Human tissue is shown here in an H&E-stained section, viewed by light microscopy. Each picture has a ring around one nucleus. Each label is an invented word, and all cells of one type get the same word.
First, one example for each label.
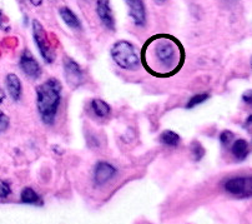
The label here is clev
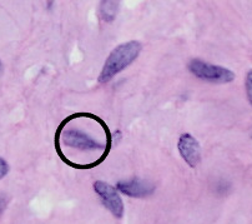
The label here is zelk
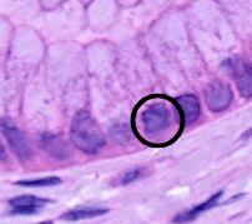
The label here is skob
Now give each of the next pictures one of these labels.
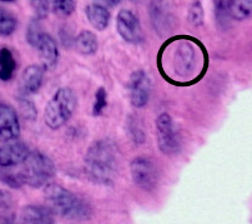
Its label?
clev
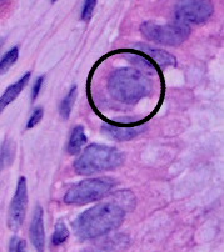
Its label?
skob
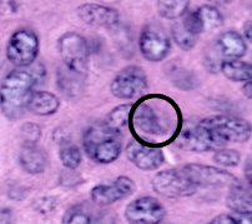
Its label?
clev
